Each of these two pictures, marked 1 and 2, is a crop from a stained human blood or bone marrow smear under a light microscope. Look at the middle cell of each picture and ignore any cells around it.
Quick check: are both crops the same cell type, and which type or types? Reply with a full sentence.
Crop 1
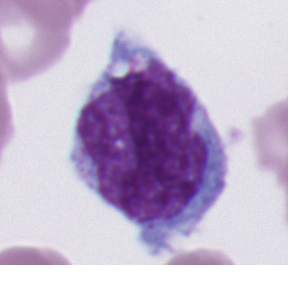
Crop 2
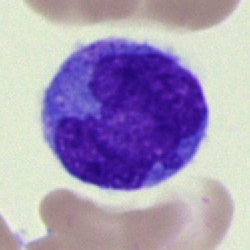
Yes, both crops show monocytes, with no exception.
